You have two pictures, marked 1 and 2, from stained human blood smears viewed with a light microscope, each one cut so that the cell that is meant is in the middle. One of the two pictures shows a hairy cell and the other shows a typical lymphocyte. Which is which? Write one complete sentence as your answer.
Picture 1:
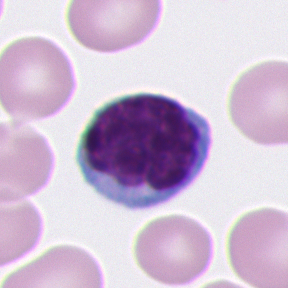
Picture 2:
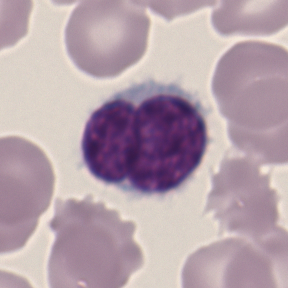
It is picture 1 that shows a typical lymphocyte, and picture 2 that shows a hairy cell.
